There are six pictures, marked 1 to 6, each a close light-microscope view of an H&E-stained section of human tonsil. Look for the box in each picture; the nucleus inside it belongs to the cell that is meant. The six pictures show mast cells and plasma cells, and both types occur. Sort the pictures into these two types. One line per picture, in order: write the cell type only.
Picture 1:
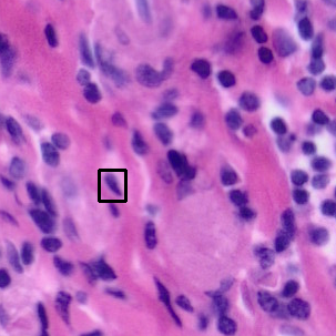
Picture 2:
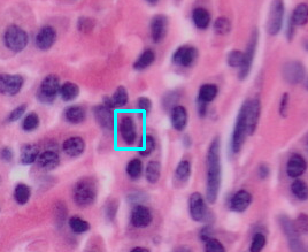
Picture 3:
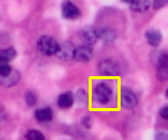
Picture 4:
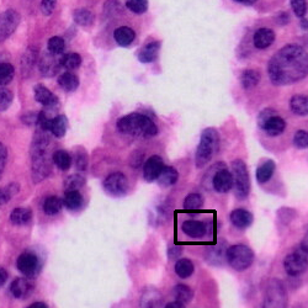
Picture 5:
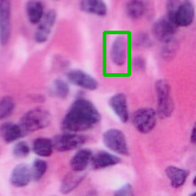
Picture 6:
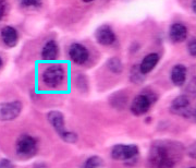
mast cell
plasma cell
plasma cell
plasma cell
mast cell
plasma cell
